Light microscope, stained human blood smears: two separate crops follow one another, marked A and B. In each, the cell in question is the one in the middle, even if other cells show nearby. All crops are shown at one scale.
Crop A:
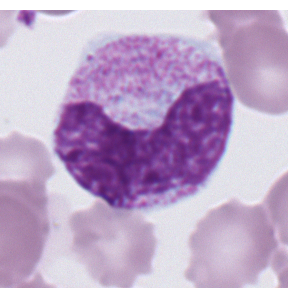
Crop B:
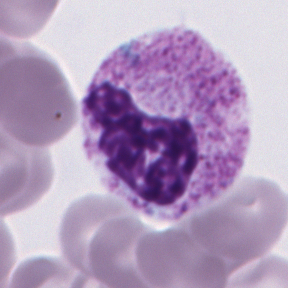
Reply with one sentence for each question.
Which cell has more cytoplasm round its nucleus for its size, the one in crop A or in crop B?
In crop B the nucleus takes up the smaller part of its cell.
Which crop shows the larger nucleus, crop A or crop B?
The nucleus in crop A is larger, with about 1.5 times the area of the one in crop B.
